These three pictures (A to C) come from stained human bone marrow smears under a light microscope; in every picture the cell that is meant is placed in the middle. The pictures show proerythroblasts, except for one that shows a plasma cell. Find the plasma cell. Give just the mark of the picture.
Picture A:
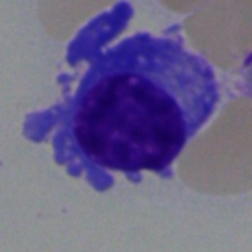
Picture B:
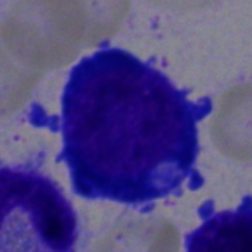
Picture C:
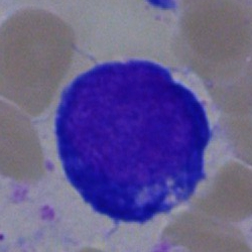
A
